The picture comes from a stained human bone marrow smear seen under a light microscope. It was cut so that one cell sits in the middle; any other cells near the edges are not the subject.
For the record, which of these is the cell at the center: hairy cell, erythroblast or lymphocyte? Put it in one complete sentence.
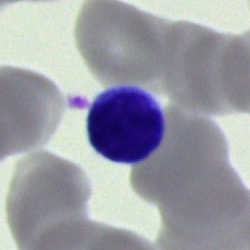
This crop is built around a lymphocyte at its centre.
